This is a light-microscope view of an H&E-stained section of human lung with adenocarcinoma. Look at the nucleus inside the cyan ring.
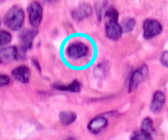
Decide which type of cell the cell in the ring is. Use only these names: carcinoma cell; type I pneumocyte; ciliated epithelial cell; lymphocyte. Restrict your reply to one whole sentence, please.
By cell type, the cell in the ring is a lymphocyte.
